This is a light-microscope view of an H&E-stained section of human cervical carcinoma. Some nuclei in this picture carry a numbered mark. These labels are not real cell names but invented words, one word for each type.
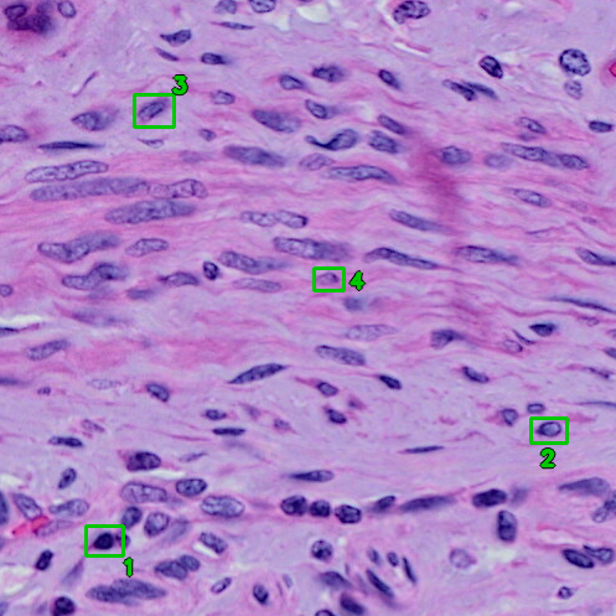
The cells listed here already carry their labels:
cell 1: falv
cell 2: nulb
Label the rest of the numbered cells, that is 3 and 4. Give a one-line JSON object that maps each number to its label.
{"3": "nulb", "4": "nulb"}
